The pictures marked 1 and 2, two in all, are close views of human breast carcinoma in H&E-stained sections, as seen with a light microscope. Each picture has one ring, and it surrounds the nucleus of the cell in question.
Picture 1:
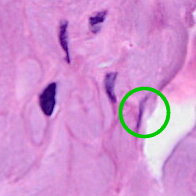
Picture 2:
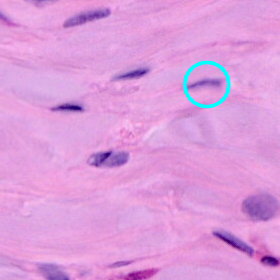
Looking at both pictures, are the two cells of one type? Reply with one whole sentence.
Yes, the two pictures both show fibroblasts.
